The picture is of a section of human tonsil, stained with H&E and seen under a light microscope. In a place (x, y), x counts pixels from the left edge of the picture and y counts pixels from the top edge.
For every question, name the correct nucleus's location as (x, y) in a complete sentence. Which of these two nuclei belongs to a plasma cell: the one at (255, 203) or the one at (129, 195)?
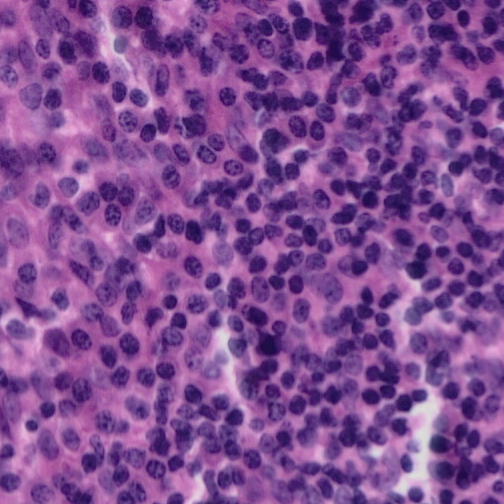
Of the two nuclei, it is the one at (129, 195) that lies within a plasma cell.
